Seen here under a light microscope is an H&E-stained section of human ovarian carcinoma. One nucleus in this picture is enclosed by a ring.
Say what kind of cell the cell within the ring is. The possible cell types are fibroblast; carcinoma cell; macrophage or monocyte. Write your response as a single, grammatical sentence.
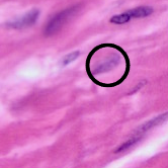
As a matter of cell type, the cell within the ring is a fibroblast.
